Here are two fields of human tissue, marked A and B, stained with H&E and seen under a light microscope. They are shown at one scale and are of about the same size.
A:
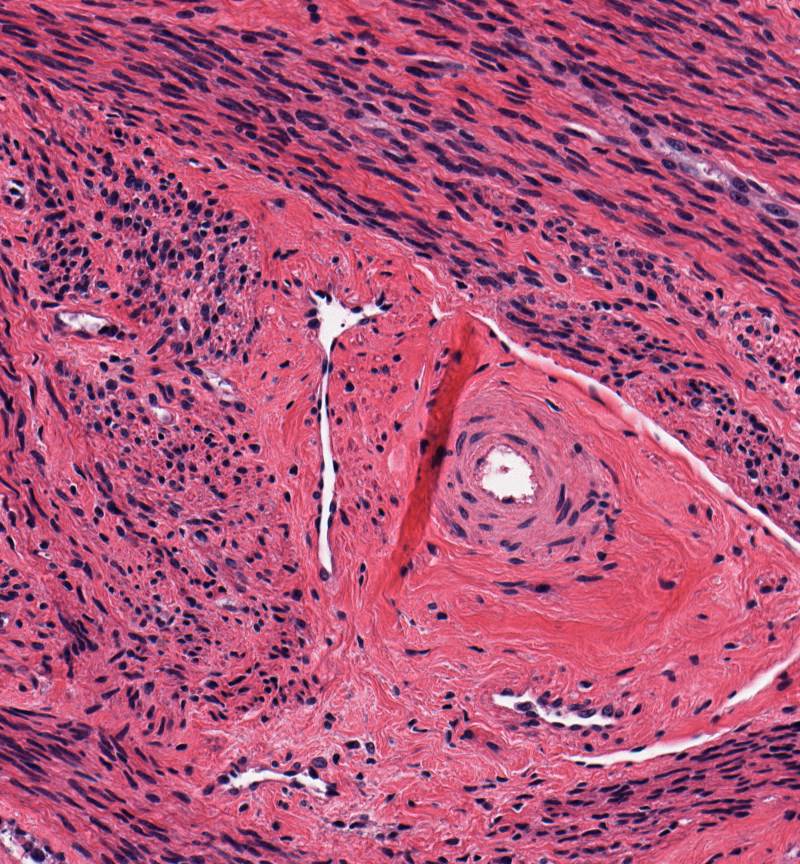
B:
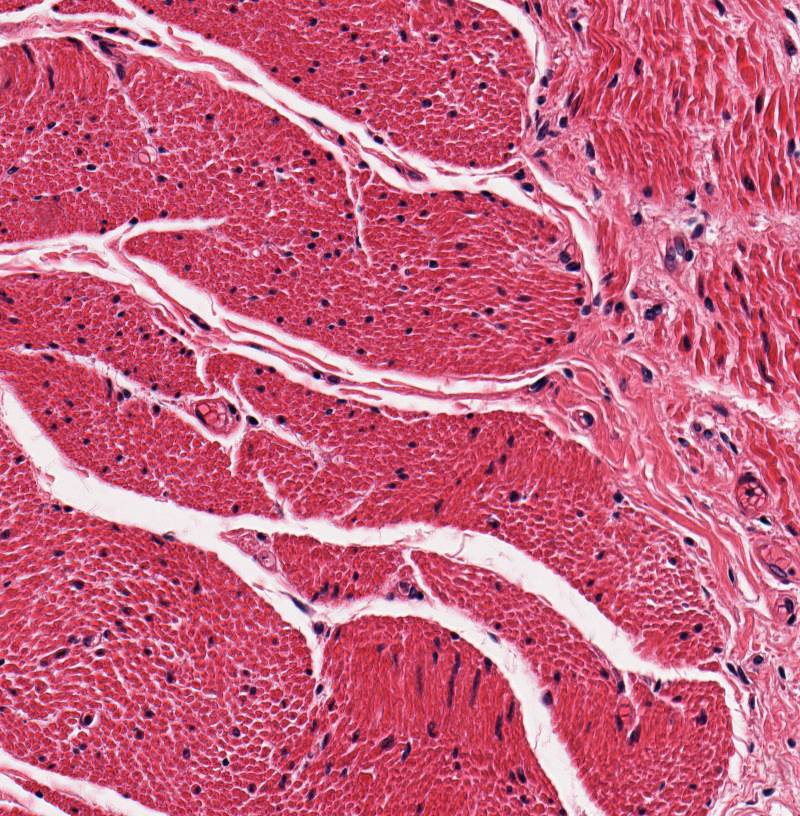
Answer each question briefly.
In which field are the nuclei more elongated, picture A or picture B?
A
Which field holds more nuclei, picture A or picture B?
A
